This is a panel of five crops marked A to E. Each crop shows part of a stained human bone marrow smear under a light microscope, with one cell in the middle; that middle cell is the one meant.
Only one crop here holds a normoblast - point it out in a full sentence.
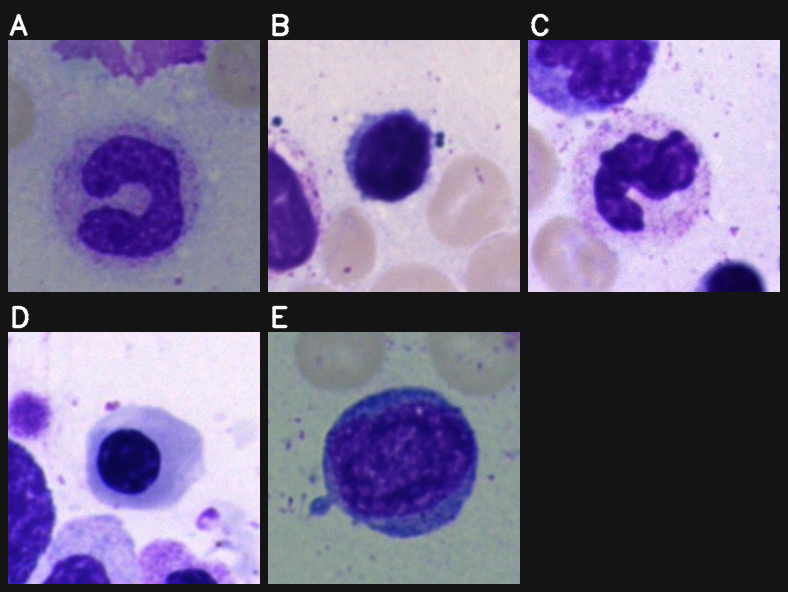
The crop showing a normoblast in this series is crop D.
